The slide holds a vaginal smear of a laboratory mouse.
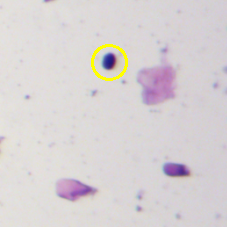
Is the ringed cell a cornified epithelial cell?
No, it is a leukocyte.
